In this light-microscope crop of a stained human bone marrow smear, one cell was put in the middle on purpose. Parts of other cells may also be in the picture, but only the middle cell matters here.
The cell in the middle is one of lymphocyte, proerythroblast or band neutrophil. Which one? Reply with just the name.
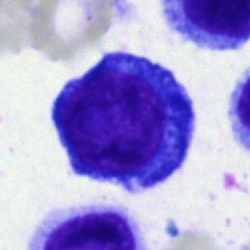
proerythroblast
